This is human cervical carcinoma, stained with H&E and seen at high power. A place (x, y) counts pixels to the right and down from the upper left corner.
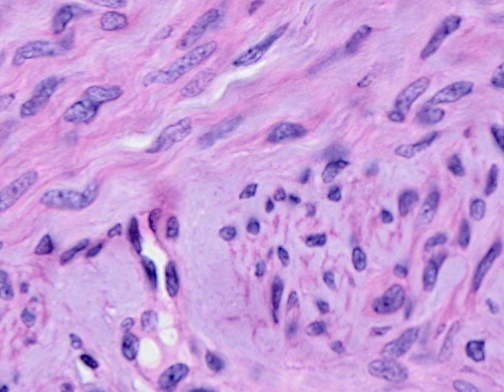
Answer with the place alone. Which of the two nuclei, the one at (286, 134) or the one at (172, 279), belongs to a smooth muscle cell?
(286, 134)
